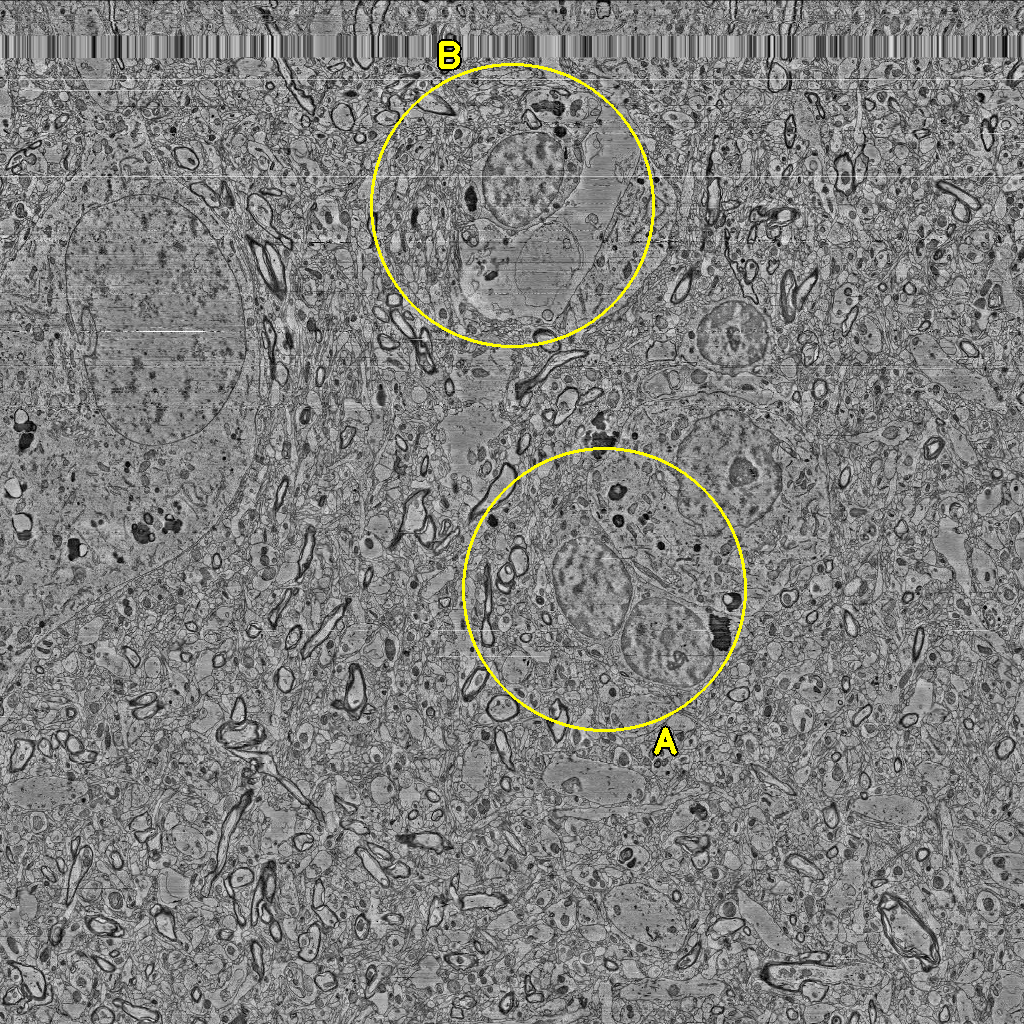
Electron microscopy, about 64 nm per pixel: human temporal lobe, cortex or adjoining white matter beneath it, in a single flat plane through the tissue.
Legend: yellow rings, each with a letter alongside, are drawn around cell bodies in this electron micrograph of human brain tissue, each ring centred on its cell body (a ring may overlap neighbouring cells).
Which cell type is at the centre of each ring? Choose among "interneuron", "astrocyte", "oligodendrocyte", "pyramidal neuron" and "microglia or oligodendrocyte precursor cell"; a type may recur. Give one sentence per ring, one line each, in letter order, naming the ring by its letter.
Ring A has an oligodendrocyte at its centre.
Ring B has an oligodendrocyte at its centre.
